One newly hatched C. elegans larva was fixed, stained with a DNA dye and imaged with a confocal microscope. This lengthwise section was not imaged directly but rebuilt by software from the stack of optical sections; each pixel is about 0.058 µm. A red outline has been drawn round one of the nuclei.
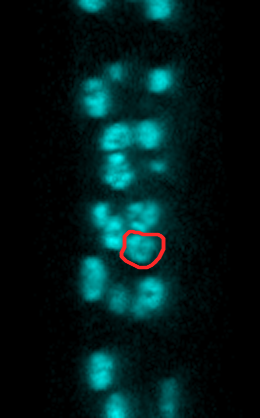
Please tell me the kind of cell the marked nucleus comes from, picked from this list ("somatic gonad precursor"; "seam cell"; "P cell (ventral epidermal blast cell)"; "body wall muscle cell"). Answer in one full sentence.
The marked nucleus is that of a somatic gonad precursor.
